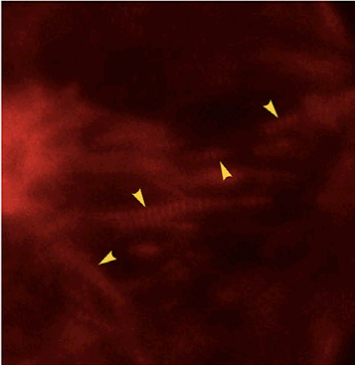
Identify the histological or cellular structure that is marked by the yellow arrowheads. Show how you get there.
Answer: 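Faint red fibres run across the field. The arrowheads point to fibres with fine regular cross-banding. That points to this answer: sarcomeric striations.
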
